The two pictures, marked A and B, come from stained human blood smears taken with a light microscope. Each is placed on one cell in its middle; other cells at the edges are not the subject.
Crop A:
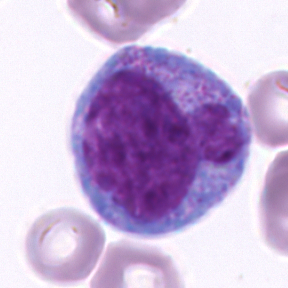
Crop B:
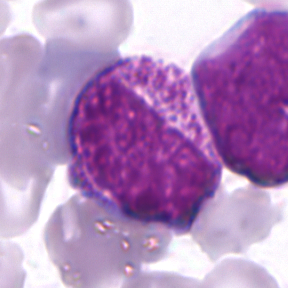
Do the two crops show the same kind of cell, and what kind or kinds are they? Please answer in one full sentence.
No, crop B shows a myelocyte, and crop A shows a promyelocyte.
